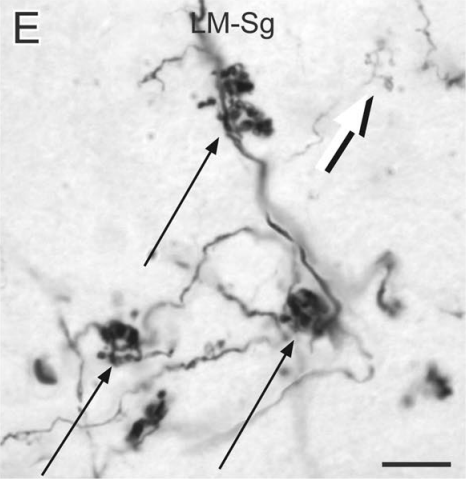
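Several dense dark clusters stand out, each made of many large, rounded swellings packed tightly together at the ends of thick branching fibers; these are large terminal clusters. They lie scattered across the field, with the fibers that carry them winding between. In the upper right a much thinner, paler fiber passes by, bearing only tiny beads, which shows how much smaller the terminals of the other axon type are. The background is pale and unstained.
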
